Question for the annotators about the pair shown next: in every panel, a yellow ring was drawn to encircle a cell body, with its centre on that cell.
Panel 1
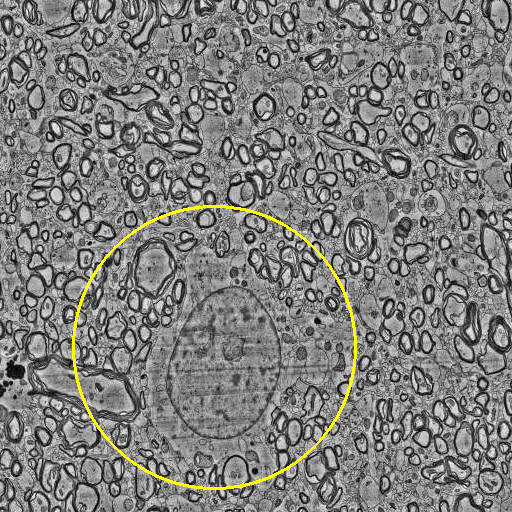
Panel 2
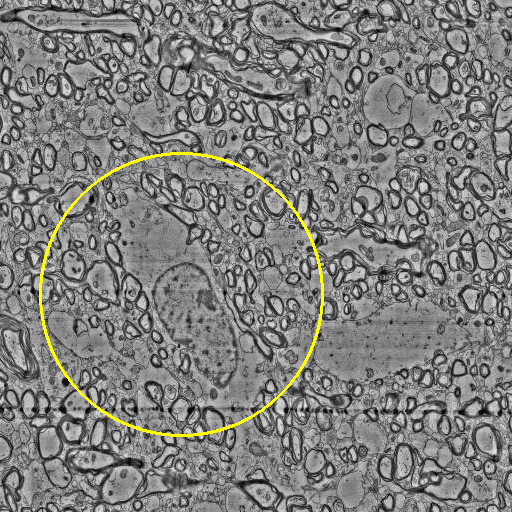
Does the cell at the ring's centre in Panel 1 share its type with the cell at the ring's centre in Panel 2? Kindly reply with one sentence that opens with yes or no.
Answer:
Yes, in Panels 1 and 2 the cells at the ring centres belong to a single type.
